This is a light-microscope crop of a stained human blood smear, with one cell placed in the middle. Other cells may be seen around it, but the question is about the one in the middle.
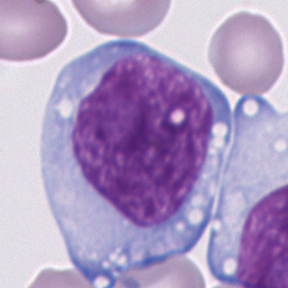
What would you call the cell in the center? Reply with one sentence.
The middle position in this crop is taken by a blast.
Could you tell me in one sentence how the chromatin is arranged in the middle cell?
The chromatin shows a fine pattern without coarse clumps.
